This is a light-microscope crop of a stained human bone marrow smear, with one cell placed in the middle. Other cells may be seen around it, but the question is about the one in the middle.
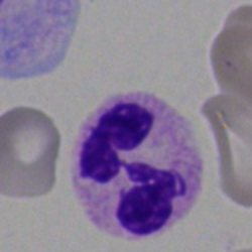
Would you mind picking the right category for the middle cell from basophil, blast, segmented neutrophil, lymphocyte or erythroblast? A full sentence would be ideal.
Centred in the crop is a segmented neutrophil.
